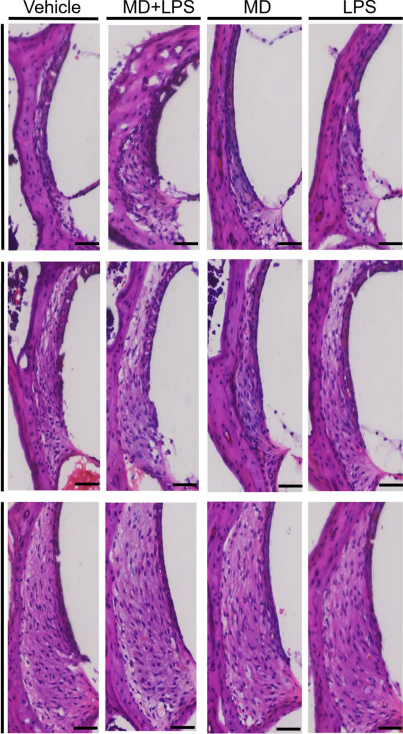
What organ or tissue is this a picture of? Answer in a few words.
spiral ligament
